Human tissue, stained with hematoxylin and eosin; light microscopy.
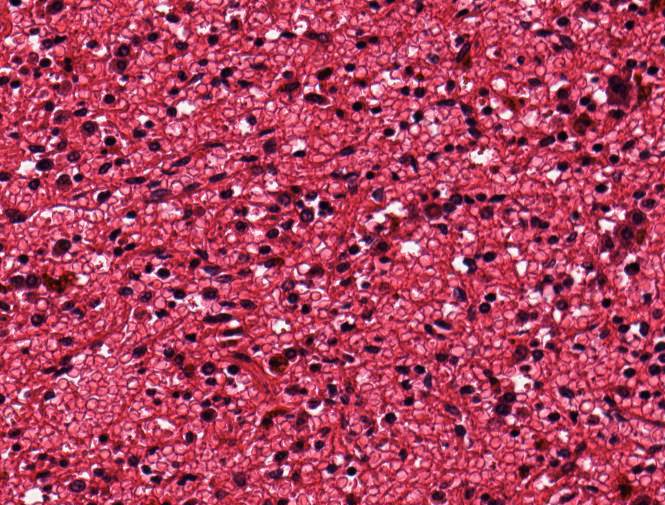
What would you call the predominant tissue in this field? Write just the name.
red pulp of the spleen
